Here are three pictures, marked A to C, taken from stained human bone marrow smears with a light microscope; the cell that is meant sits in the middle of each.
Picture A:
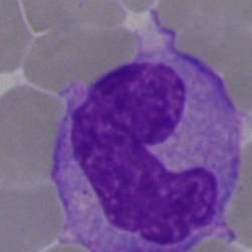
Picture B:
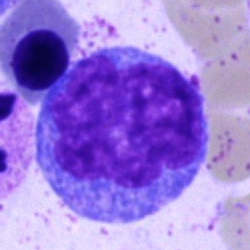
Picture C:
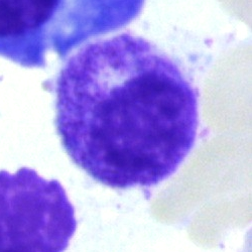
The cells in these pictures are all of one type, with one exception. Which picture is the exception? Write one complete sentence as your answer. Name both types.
The different one is picture C; it shows a myelocyte, whereas all the others show monocytes.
